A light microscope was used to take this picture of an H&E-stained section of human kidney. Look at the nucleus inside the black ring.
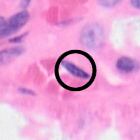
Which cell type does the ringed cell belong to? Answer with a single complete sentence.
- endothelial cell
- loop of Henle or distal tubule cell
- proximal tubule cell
The ringed cell is an endothelial cell.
